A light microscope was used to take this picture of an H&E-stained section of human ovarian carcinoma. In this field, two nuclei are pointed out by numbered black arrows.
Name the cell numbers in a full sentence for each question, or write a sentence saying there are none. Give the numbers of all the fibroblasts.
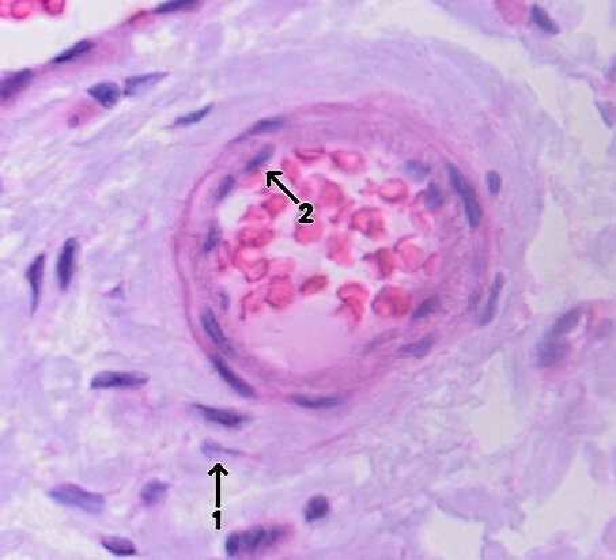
Cell 1 is the one numbered cell that is a fibroblast.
